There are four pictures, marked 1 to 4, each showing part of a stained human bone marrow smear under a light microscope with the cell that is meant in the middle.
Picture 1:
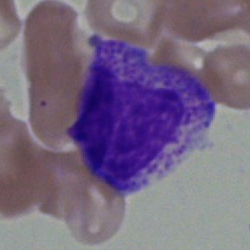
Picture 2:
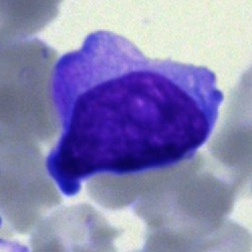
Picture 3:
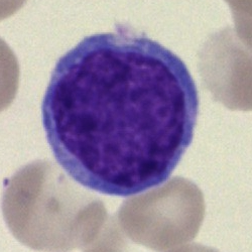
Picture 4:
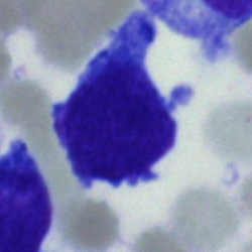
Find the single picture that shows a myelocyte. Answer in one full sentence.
Picture 1 shows the myelocyte.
